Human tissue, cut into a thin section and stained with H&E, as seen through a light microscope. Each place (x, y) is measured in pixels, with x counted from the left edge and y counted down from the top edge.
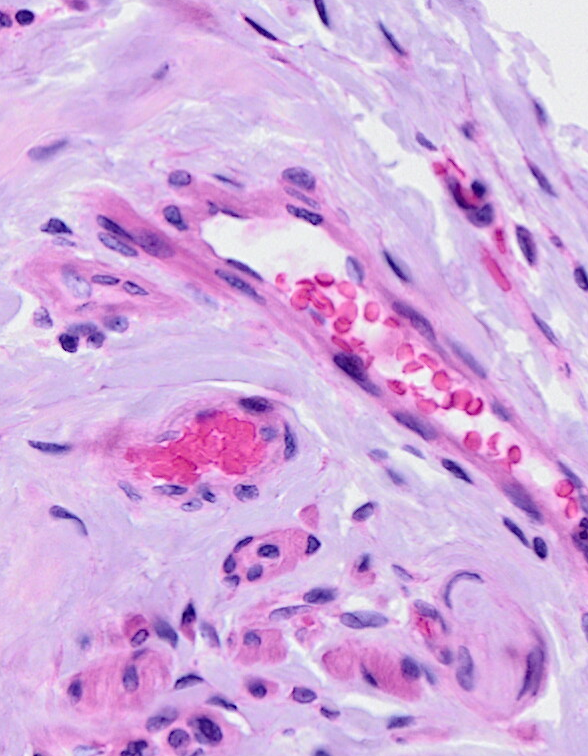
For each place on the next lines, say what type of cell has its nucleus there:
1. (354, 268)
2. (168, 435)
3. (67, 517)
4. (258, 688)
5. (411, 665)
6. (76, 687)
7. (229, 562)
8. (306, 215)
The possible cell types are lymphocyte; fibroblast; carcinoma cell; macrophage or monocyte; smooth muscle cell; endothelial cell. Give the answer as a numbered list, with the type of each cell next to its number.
1. endothelial cell
2. endothelial cell
3. fibroblast
4. smooth muscle cell
5. smooth muscle cell
6. smooth muscle cell
7. smooth muscle cell
8. endothelial cell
